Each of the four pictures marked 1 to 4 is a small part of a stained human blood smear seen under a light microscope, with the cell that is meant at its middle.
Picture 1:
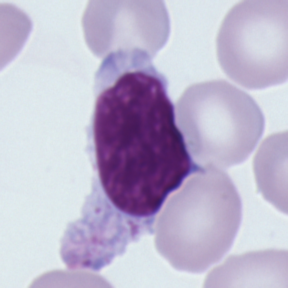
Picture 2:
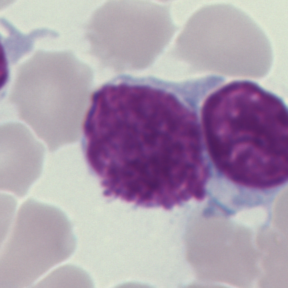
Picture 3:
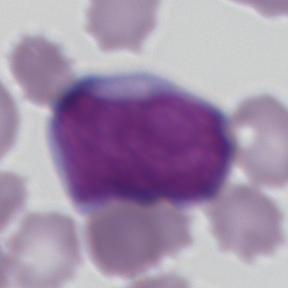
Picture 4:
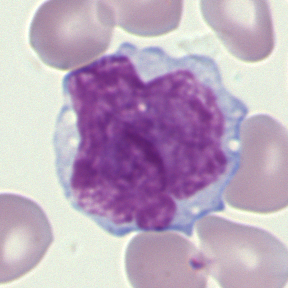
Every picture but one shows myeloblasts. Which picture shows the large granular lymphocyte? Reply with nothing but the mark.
1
